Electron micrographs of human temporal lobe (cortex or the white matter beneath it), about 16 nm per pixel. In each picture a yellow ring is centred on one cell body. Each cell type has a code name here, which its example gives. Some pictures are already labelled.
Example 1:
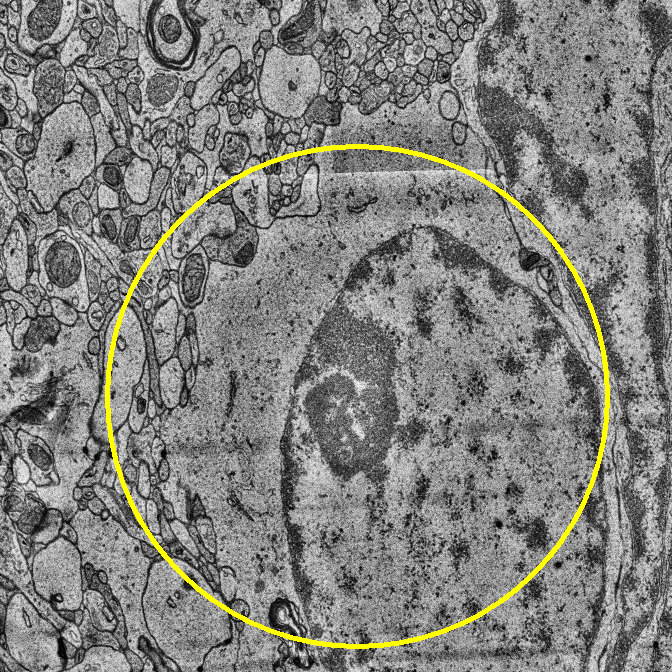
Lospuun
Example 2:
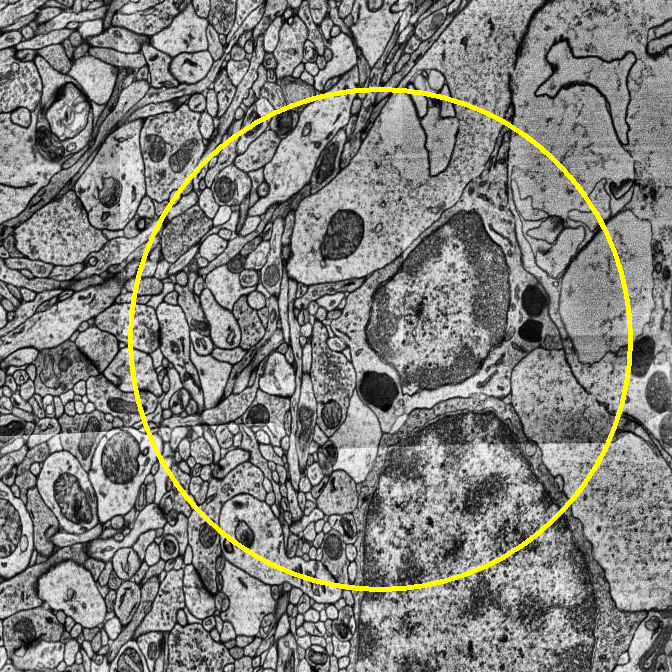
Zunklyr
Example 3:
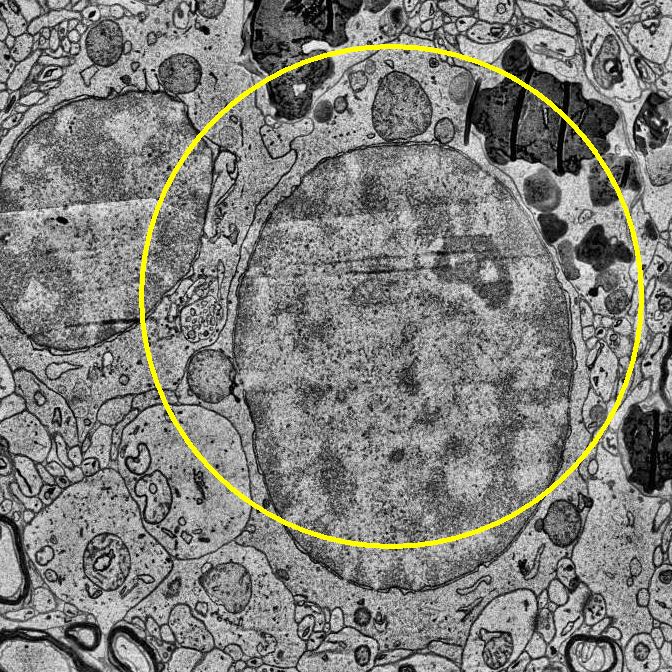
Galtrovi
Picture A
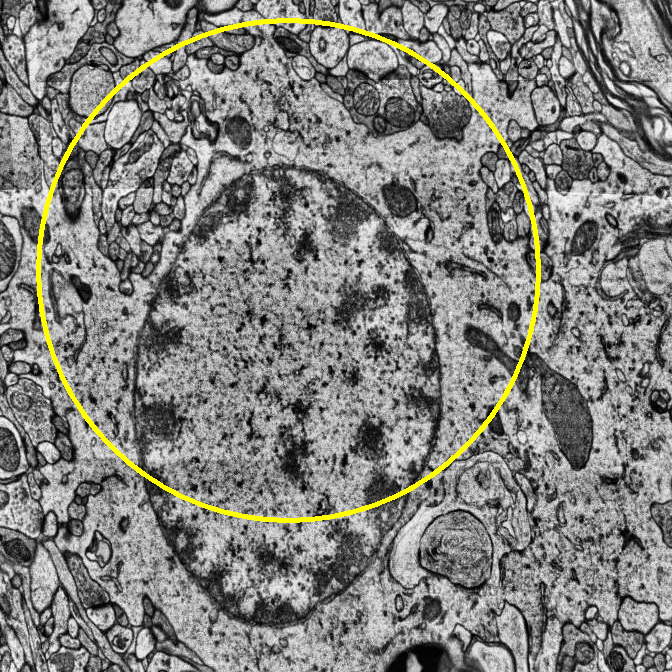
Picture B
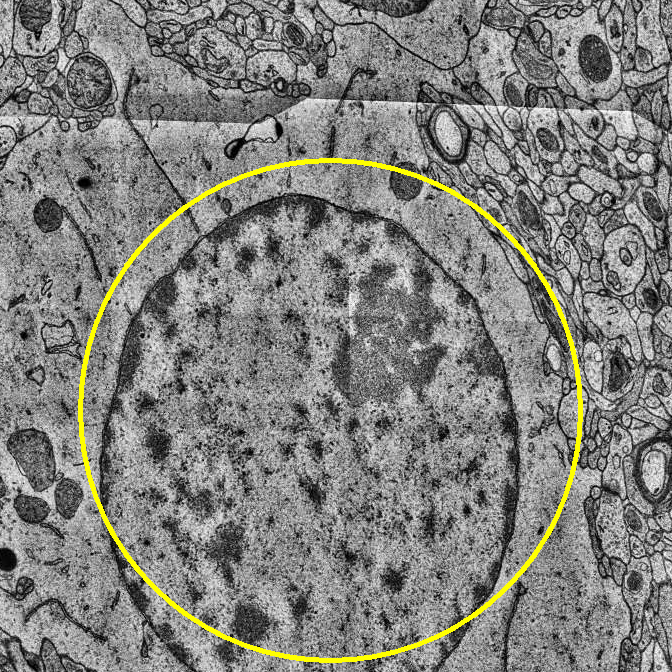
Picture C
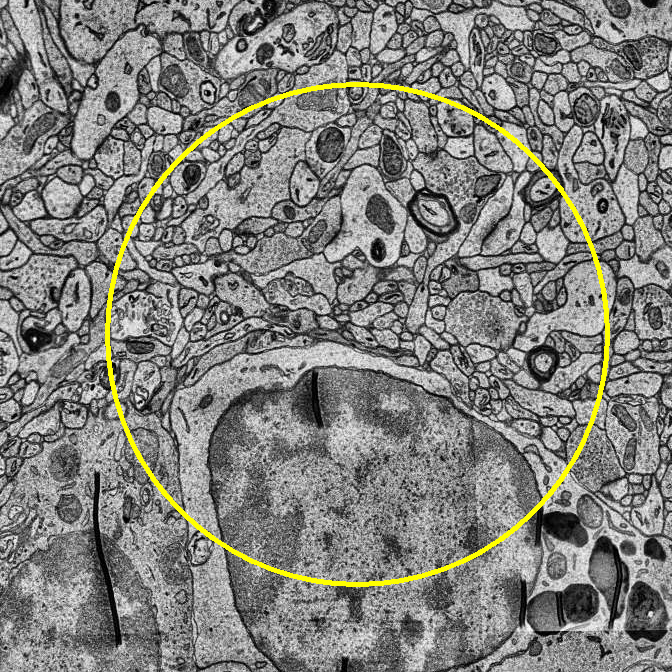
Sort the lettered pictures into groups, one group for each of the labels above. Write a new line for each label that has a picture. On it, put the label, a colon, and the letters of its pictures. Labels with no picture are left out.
Lospuun: A, B
Zunklyr: C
